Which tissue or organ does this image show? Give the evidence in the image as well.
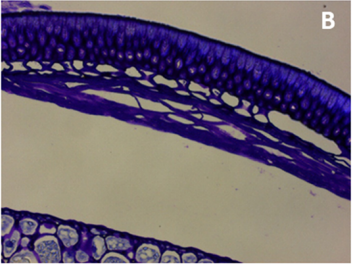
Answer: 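A thick, deep purple outer band of tall, closely packed columnar cells runs along the top. Looser layers of flattened cells lie beneath that band. Rounded storage cells appear only at the bottom edge, separated by a gap.
Conclusion: seed coat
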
